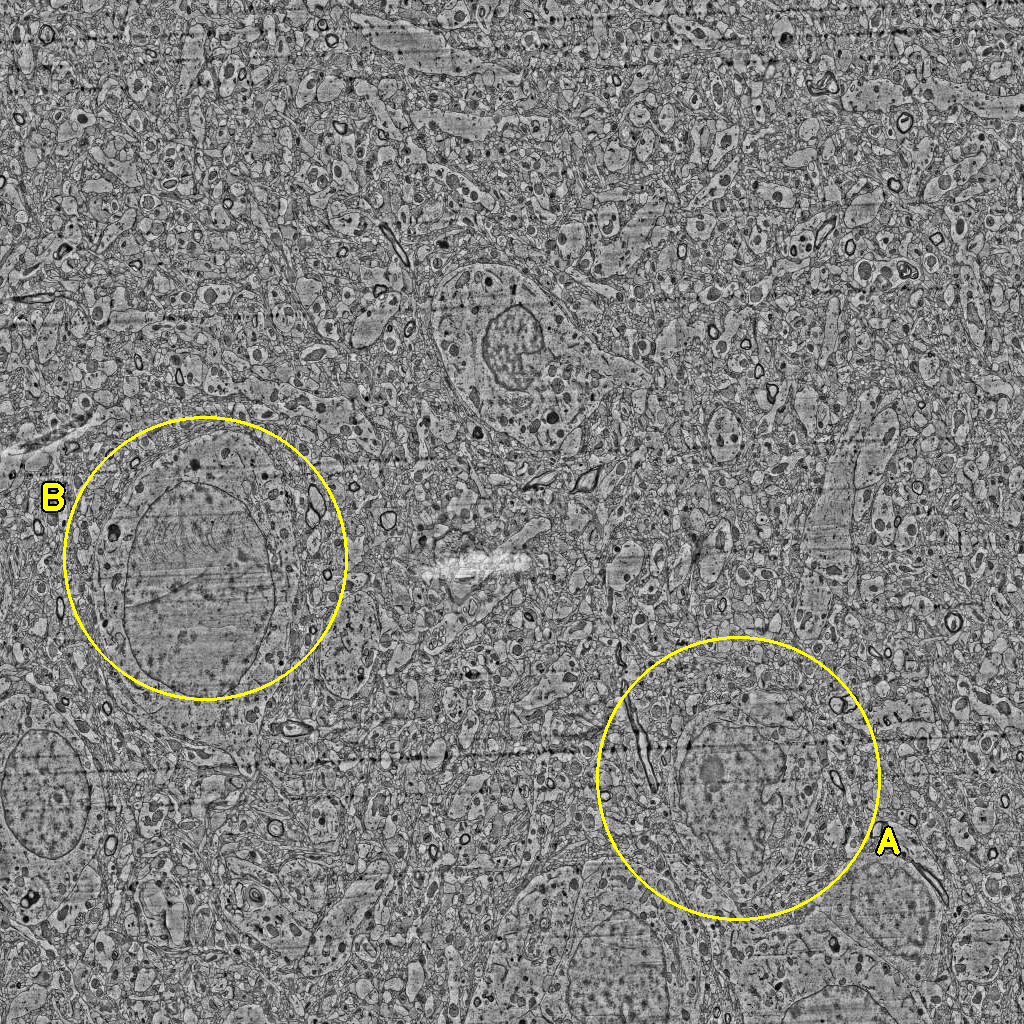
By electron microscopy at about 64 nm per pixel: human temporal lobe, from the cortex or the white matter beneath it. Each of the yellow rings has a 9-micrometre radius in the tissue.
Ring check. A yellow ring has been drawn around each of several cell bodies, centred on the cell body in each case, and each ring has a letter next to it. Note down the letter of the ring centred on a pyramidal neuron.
B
